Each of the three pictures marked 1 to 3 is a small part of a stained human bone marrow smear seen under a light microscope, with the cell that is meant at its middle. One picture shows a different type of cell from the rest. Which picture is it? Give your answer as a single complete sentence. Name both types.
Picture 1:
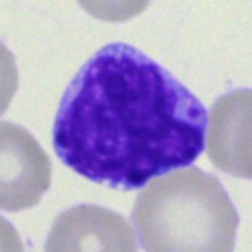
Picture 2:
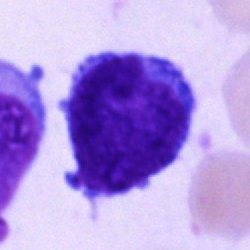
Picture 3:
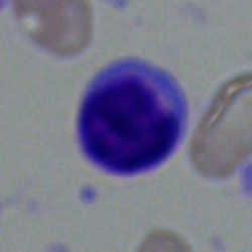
All pictures except 3 show blasts; picture 3 shows a lymphocyte.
